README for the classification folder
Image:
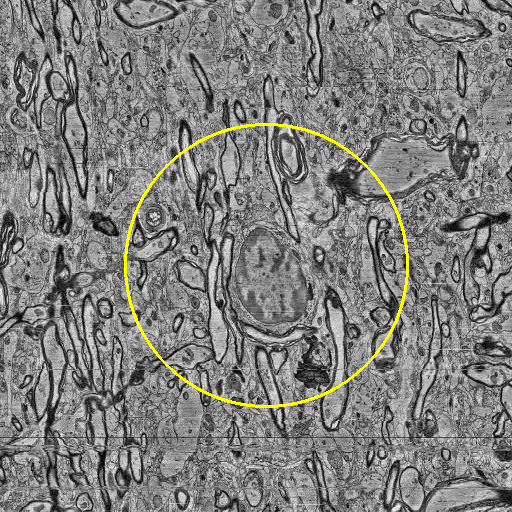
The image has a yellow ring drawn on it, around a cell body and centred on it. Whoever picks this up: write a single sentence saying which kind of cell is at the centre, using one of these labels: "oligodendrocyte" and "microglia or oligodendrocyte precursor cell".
This cell body is that of a microglial cell or oligodendrocyte precursor cell.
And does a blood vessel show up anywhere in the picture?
No, none is visible.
